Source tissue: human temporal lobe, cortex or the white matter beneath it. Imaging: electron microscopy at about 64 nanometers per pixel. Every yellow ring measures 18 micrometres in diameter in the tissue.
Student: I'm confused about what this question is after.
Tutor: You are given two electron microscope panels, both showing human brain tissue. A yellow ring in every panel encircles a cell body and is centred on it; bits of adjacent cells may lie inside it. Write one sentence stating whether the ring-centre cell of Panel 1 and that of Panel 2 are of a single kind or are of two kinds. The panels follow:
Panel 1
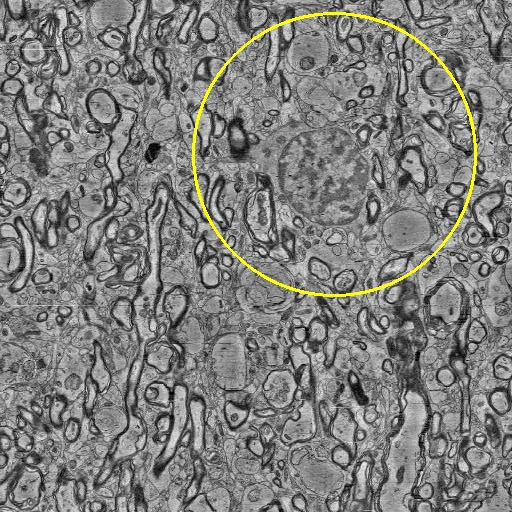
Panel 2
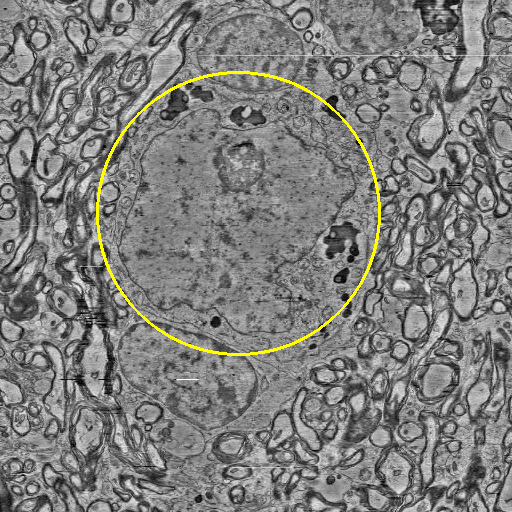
Here, the Panel 1 ring-centre cell and the Panel 2 ring-centre cell are of two kinds.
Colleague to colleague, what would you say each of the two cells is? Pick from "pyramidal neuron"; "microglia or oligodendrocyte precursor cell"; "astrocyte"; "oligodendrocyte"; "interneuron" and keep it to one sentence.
The cell in the first picture is an oligodendrocyte; the second picture's cell is a pyramidal neuron.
